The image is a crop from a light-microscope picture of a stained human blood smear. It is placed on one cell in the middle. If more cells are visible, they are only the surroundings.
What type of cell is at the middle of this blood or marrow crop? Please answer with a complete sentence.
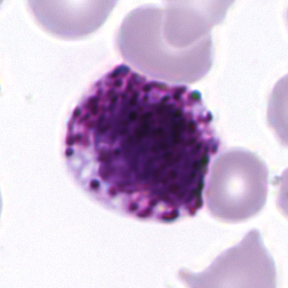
The cell shown in the center of this light-microscope crop is a basophil.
